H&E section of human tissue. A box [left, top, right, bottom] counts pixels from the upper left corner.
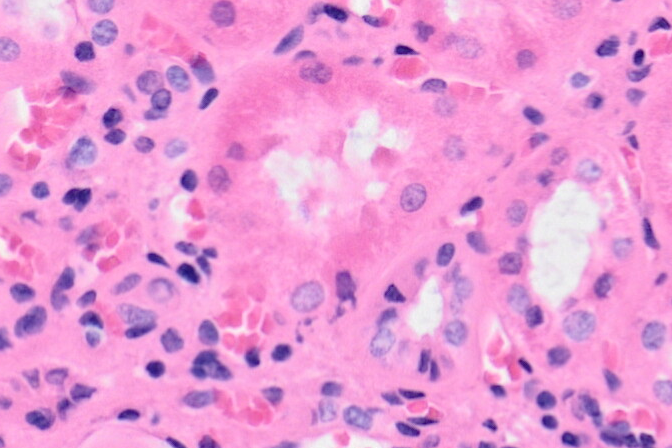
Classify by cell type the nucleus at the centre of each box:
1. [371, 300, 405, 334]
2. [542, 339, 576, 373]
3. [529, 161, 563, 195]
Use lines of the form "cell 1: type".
cell 1: collecting duct cell
cell 2: loop of Henle or distal tubule cell
cell 3: loop of Henle or distal tubule cell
